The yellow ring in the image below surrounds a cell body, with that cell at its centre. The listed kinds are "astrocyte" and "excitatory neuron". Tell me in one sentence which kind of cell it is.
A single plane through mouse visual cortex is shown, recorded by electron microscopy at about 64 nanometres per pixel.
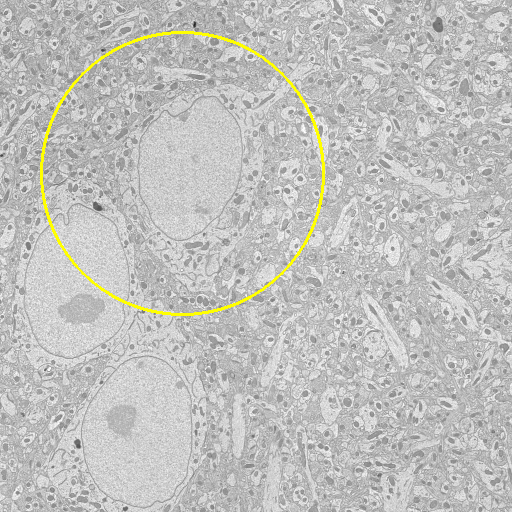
The centre of the ring holds an excitatory neuron.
